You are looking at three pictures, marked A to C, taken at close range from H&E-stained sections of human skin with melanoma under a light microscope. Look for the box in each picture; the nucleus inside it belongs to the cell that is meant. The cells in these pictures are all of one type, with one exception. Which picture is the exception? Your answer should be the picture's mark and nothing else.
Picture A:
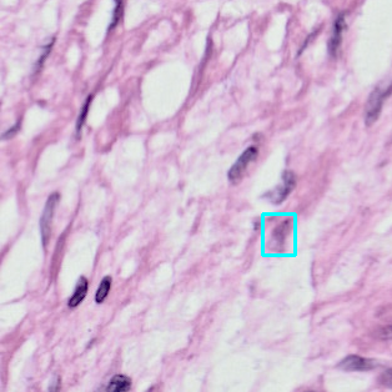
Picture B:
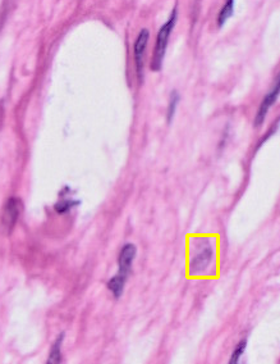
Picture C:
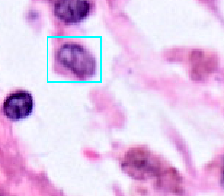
C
